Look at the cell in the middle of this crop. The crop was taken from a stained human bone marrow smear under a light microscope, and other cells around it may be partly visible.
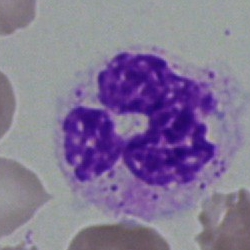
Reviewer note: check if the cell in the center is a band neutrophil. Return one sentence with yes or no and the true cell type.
No, the centrally placed cell is a segmented neutrophil, not a band neutrophil.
